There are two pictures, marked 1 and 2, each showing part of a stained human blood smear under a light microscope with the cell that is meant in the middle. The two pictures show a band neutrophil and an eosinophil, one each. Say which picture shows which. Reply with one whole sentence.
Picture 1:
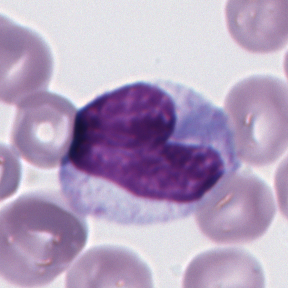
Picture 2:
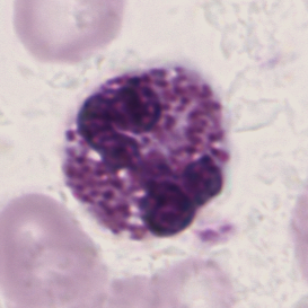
Picture 2 shows an eosinophil, while picture 1 shows a band neutrophil.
